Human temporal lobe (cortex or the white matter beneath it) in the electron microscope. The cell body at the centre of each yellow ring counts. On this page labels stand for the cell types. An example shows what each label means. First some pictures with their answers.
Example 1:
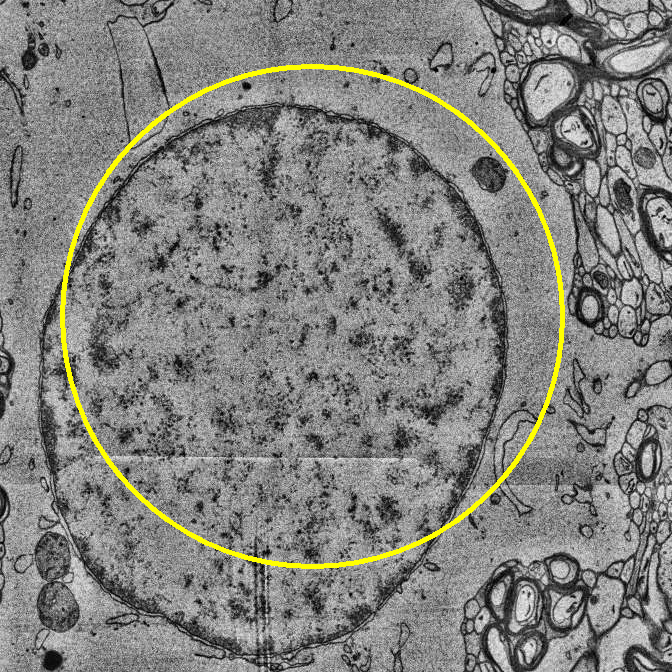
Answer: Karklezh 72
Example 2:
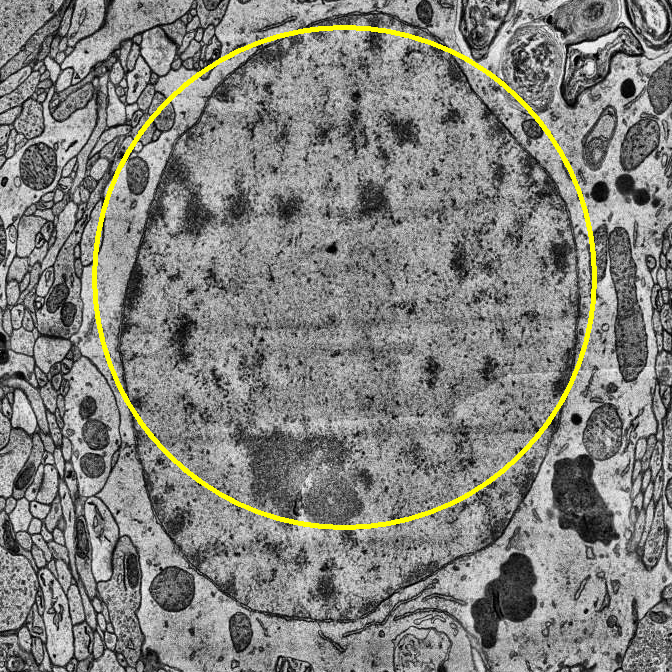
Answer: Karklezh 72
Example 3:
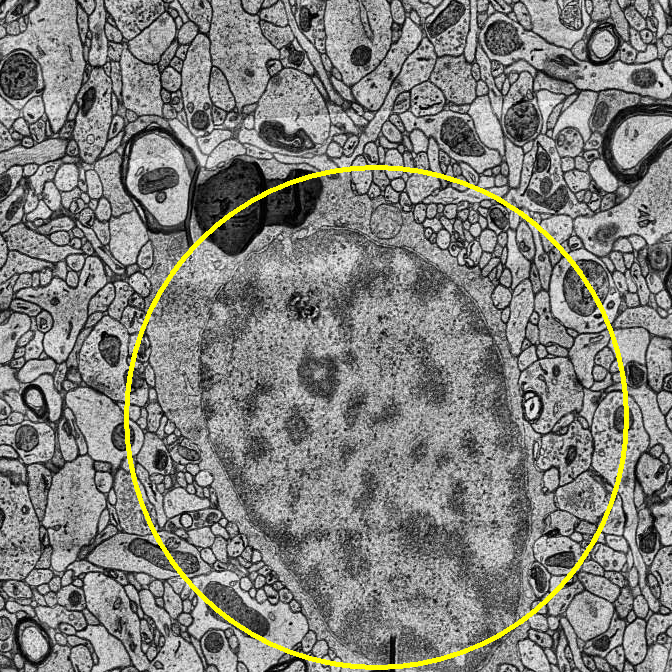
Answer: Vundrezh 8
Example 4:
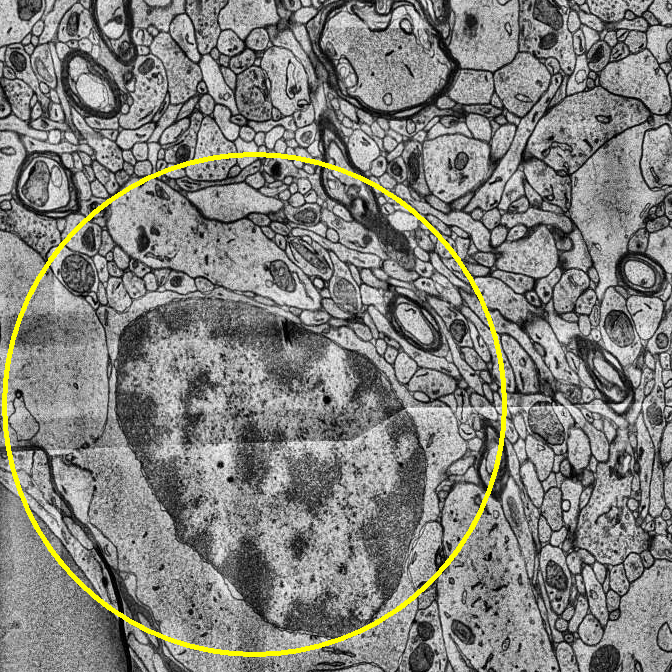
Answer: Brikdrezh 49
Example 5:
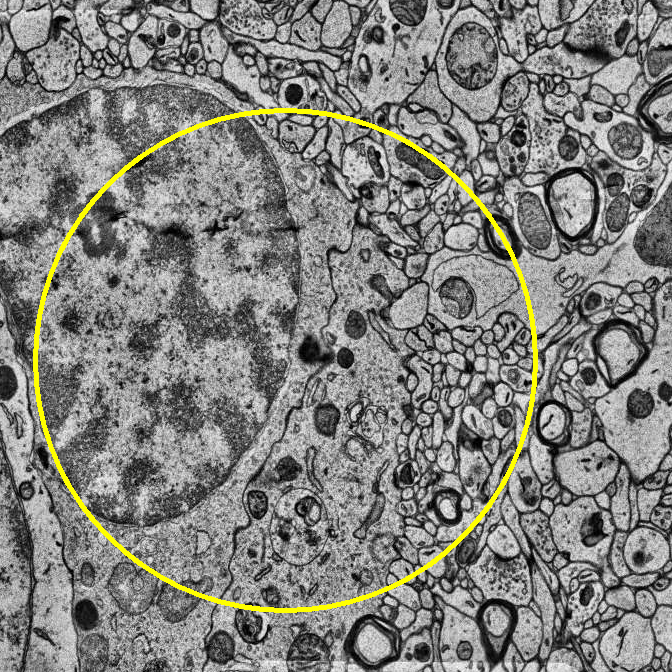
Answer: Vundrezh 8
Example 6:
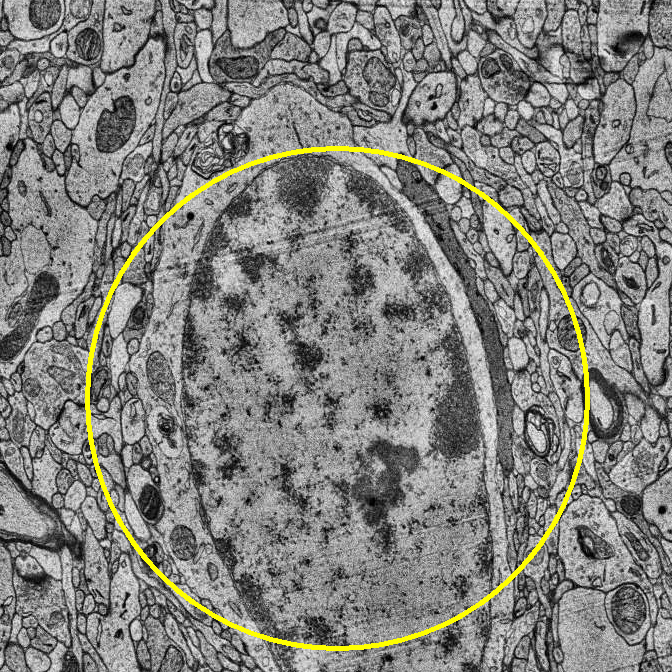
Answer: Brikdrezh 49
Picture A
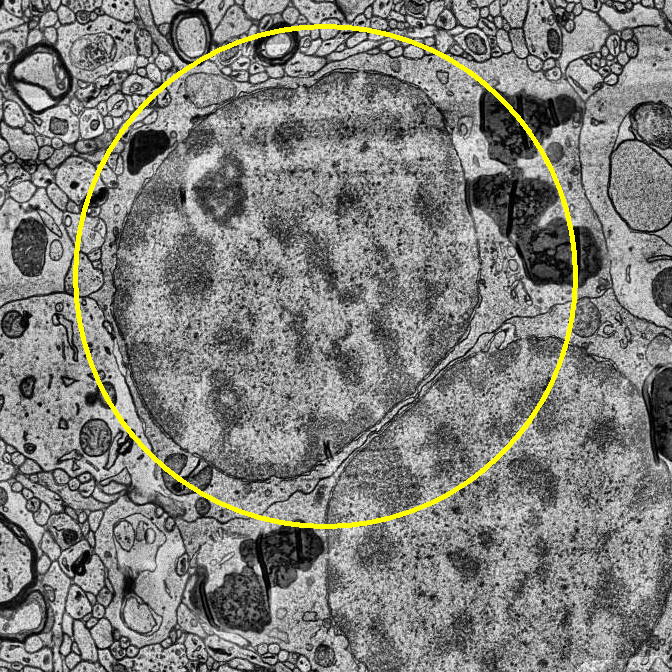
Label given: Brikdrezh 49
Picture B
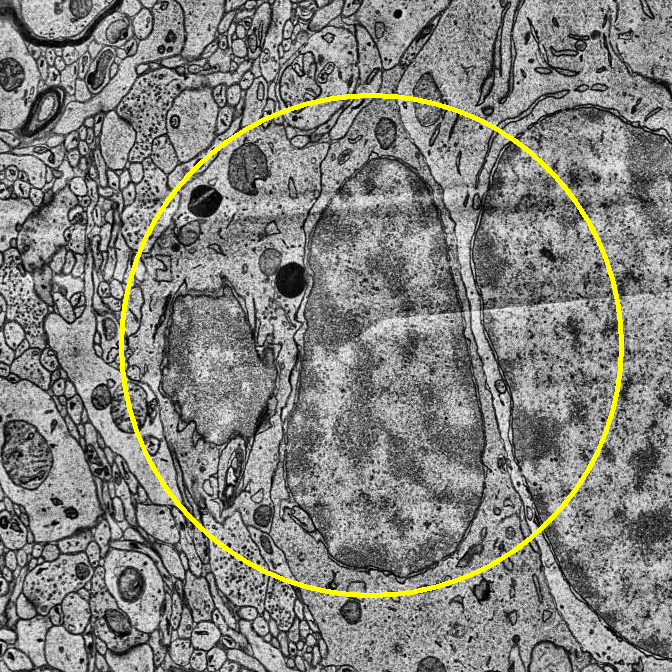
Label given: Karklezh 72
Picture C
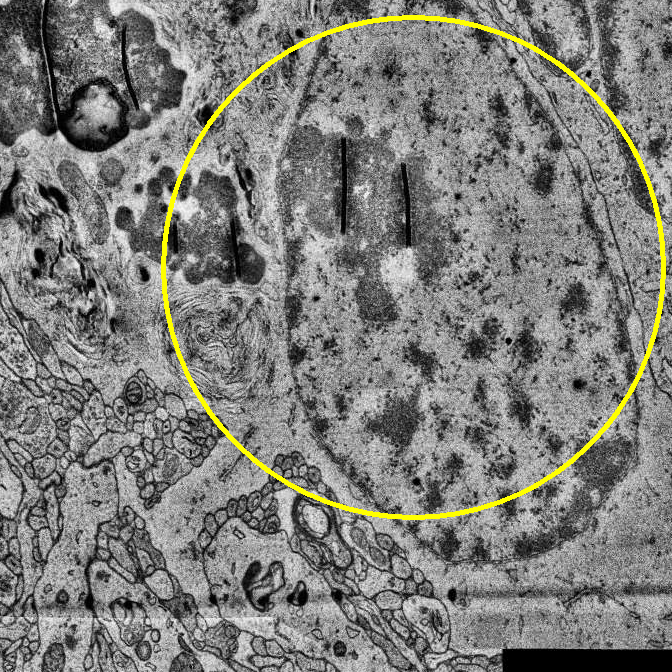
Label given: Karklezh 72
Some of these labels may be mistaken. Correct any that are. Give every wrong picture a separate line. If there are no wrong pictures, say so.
A: change Brikdrezh 49 to Vundrezh 8
B: change Karklezh 72 to Vundrezh 8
